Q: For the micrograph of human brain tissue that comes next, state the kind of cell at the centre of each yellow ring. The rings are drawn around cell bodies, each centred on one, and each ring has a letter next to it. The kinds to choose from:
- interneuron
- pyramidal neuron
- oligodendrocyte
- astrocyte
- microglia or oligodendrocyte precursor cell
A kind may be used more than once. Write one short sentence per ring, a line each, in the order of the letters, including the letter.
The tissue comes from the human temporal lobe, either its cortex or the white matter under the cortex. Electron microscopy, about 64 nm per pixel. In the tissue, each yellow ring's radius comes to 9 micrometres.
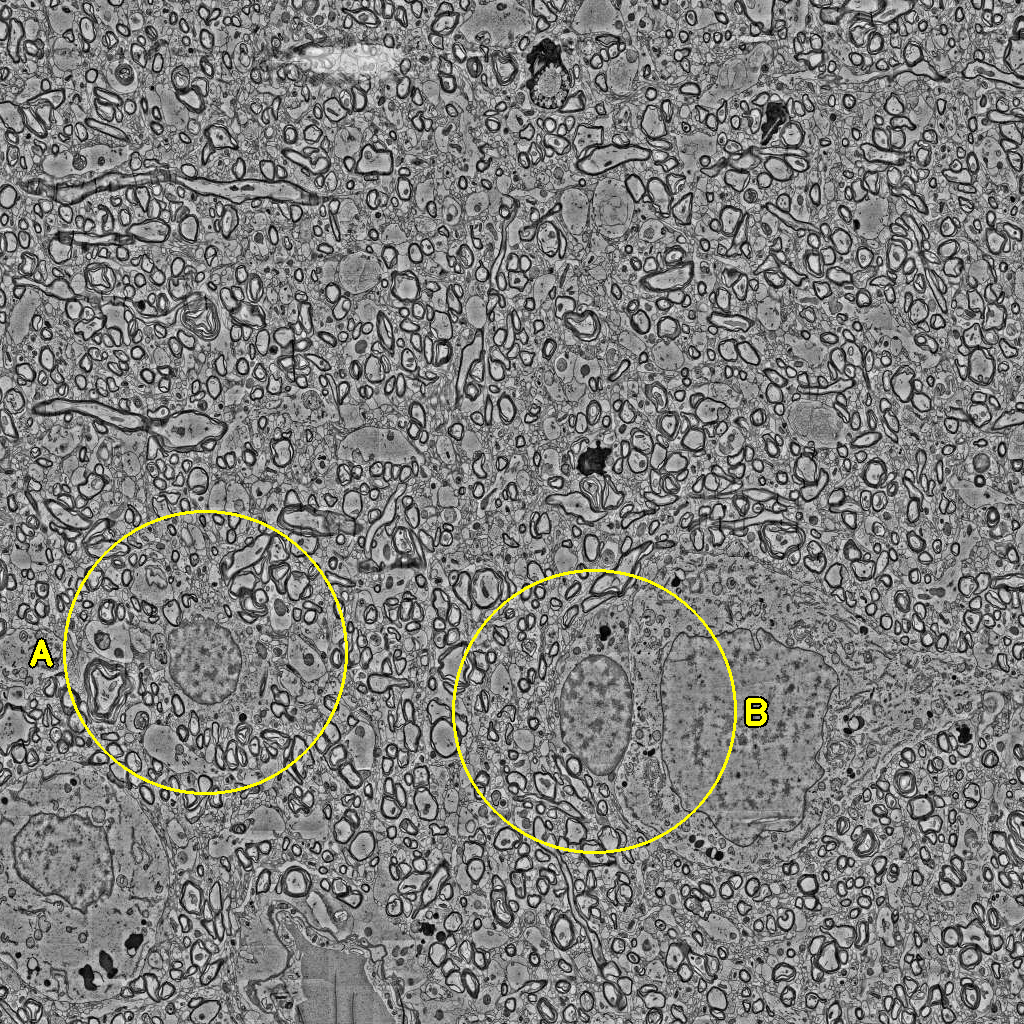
The cell ringed as A is an oligodendrocyte.
The cell ringed as B is an oligodendrocyte.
